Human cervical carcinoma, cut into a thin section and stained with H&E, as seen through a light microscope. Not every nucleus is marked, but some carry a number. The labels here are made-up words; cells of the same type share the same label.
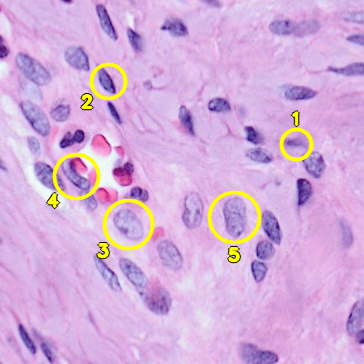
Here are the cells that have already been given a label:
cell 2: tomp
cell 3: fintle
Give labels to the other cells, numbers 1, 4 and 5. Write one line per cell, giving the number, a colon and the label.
1: tomp
4: fintle
5: tomp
